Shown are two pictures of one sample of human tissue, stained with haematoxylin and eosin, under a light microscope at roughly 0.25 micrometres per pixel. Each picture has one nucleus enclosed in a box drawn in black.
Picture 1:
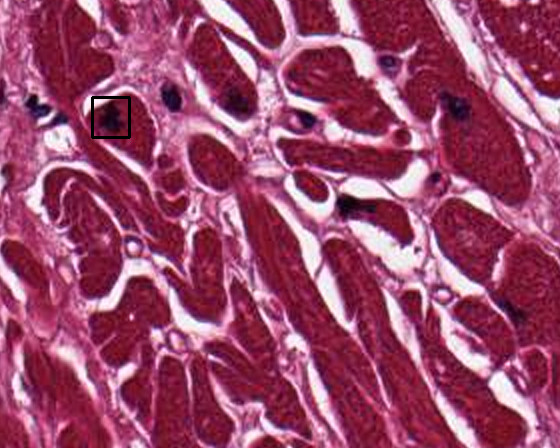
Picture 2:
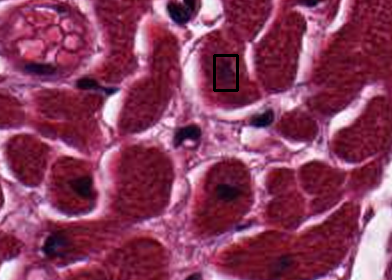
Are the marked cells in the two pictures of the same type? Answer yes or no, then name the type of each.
Yes, both are cardiomyocytes.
